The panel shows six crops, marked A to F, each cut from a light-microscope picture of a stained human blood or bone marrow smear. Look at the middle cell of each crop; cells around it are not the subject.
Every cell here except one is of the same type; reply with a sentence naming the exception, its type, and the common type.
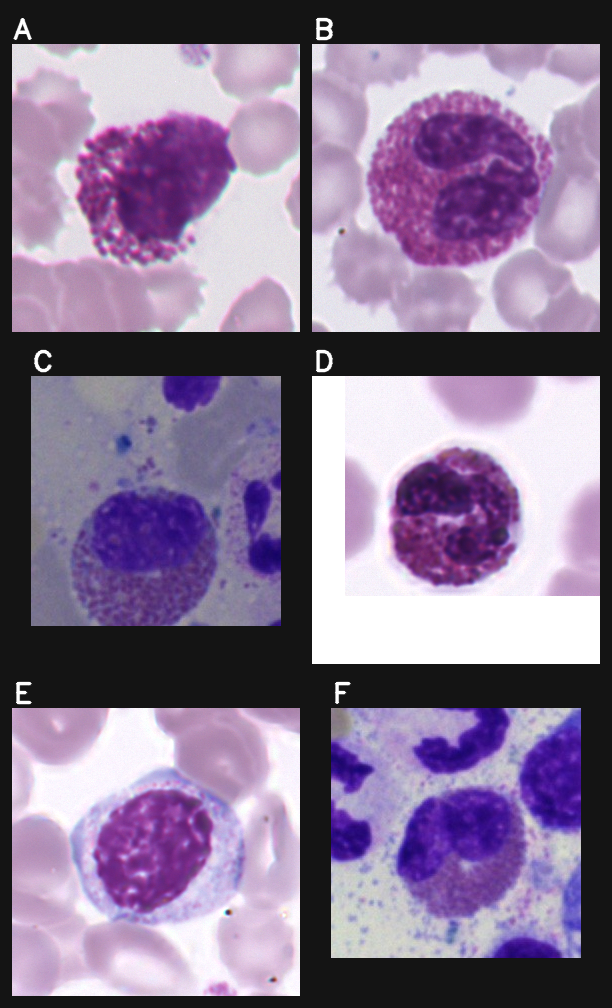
Crop E contains a myelocyte, setting it apart from the other crops, which all contain eosinophils.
